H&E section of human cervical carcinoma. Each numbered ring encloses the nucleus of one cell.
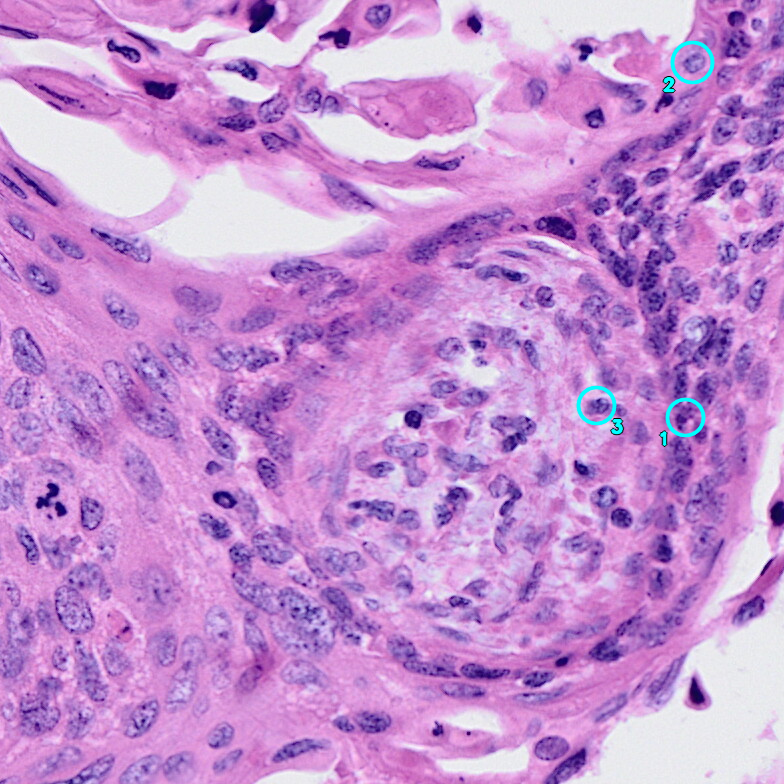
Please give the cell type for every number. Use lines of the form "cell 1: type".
cell 1: squamous carcinoma cell
cell 2: squamous carcinoma cell
cell 3: lymphocyte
